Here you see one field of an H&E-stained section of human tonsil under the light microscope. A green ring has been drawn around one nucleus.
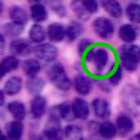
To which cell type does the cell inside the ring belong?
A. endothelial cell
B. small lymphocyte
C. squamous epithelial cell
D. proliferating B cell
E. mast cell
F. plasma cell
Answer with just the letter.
B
